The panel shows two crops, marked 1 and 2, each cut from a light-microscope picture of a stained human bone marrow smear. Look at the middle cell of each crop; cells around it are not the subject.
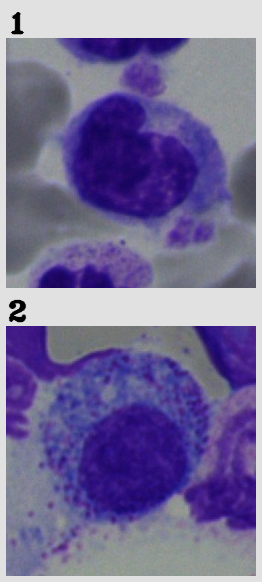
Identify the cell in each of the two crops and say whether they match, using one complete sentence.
No, it is a monocyte that crop 1 shows, and a myelocyte that crop 2 shows.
